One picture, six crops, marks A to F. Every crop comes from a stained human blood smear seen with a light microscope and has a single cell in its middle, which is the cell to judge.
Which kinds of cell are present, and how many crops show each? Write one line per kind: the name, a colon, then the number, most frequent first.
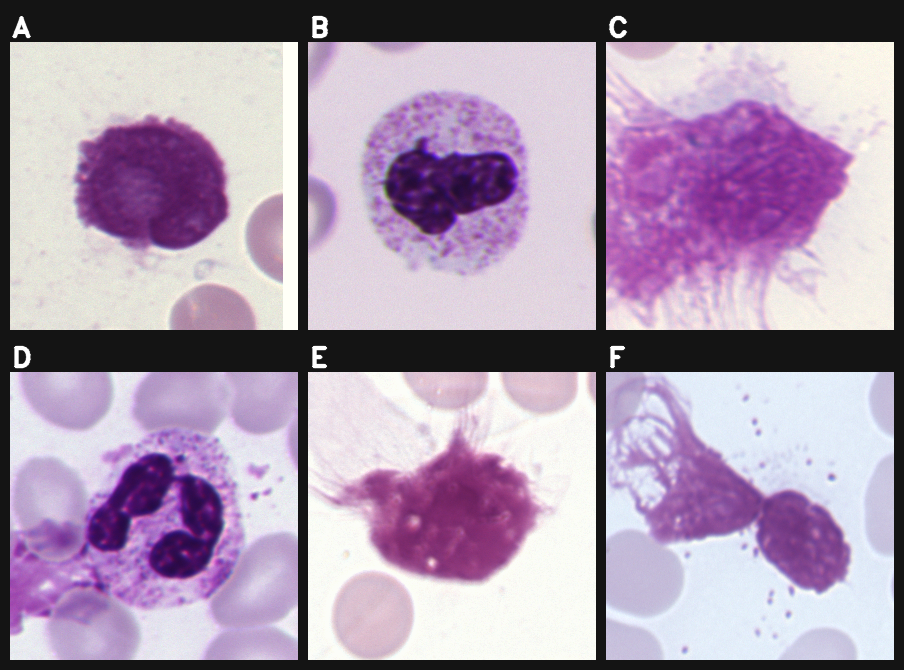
smudge cell: 4
segmented neutrophil: 2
